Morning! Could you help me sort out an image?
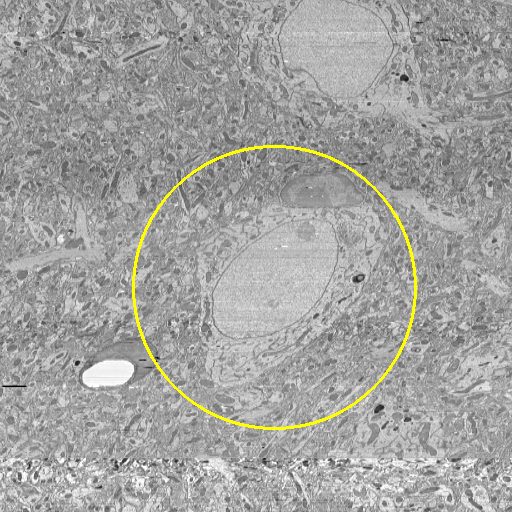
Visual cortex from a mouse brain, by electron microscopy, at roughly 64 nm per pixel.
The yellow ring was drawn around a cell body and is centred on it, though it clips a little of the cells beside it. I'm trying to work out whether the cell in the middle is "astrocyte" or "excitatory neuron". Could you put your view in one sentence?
The ringed cell body is that of an excitatory neuron.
